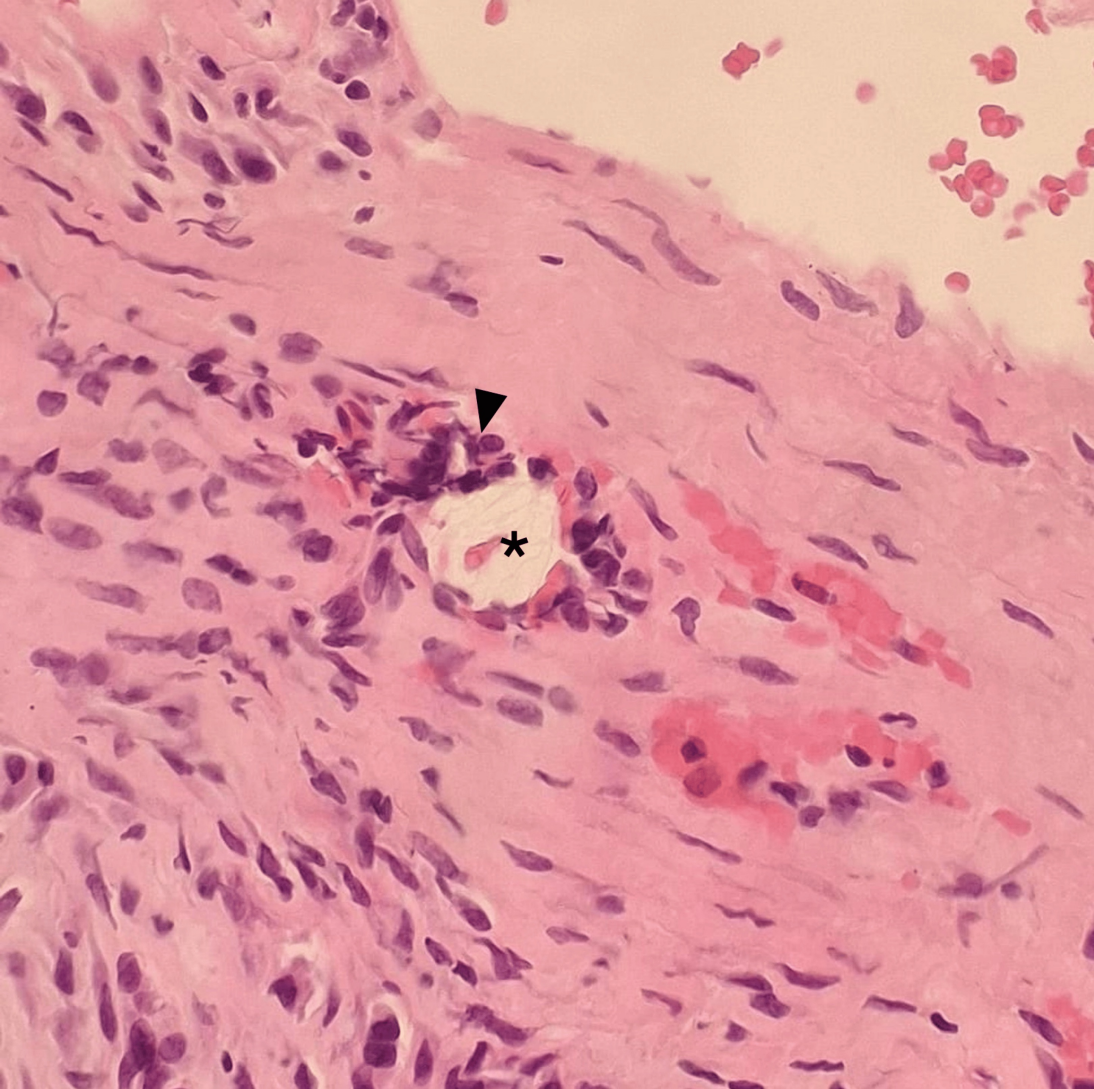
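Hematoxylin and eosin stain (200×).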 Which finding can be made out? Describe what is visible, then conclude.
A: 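Much of the field is a pale pink, glassy, homogeneous matrix. Spindle-shaped nuclei are scattered through the matrix and run in parallel.
Conclusion: hyalinized tissue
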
